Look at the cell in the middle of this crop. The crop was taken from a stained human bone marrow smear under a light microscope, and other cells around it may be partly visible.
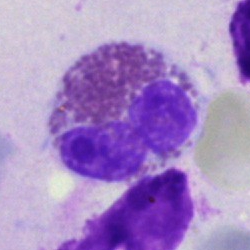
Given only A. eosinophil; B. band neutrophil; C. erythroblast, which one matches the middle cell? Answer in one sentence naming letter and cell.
Option A is correct in naming the middle cell an eosinophil.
